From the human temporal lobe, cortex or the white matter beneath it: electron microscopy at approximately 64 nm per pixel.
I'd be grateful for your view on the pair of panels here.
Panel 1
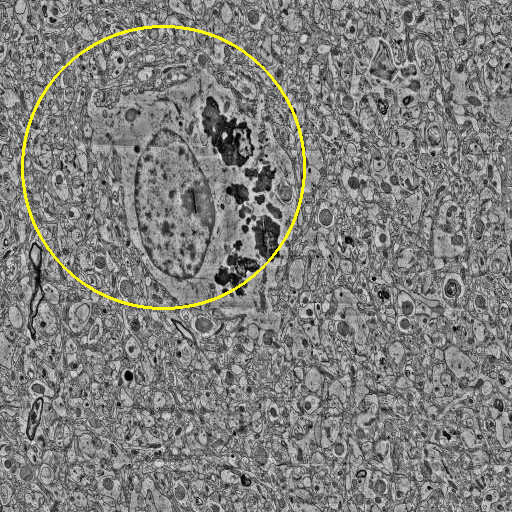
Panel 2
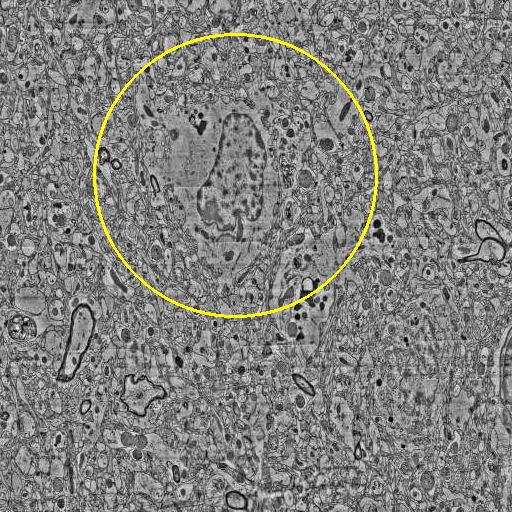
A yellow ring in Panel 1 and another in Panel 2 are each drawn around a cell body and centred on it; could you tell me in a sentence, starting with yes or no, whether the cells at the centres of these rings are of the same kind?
Yes, they are the same kind of cell.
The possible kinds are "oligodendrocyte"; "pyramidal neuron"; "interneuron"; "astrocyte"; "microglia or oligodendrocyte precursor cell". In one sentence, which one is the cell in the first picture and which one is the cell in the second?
In each of the two pictures, the ringed cell is an astrocyte.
